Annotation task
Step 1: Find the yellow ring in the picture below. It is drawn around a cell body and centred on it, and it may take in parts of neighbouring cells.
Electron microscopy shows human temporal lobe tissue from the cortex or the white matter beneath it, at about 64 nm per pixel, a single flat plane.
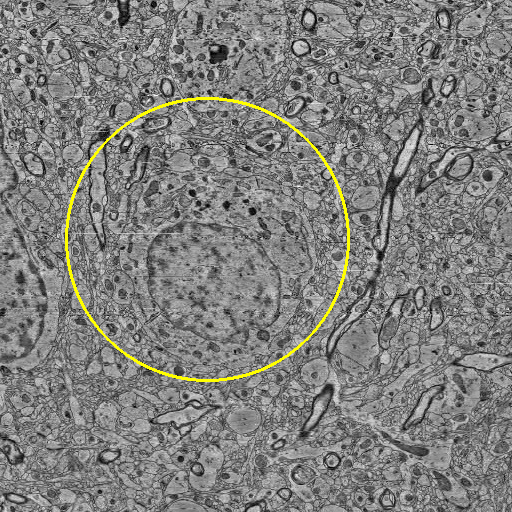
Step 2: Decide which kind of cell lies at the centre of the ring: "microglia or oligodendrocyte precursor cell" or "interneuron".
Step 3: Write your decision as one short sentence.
The kind of cell at the ring's centre is an interneuron.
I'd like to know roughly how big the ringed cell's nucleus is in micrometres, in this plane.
In this plane, about 9 micrometres in length and 7 in width.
